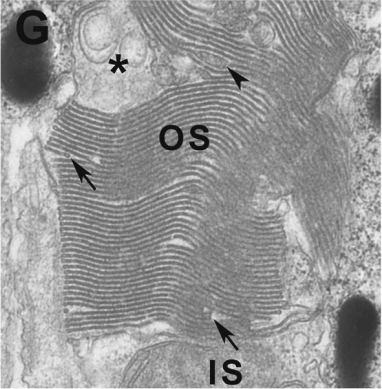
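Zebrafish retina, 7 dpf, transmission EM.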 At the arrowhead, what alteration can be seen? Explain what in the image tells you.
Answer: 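At the arrowhead the discs are bent and wavy rather than straight and parallel.
Conclusion: abnormal disc morphology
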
